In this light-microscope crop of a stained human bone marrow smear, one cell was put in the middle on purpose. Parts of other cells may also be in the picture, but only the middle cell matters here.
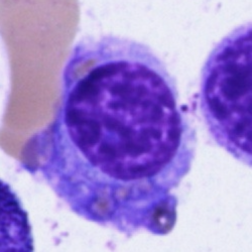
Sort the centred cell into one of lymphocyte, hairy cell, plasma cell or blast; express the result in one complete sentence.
Centrally within this crop lies a plasma cell.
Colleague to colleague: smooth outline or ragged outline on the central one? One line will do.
The outline of this cell is not smooth but ragged or drawn out into projections.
